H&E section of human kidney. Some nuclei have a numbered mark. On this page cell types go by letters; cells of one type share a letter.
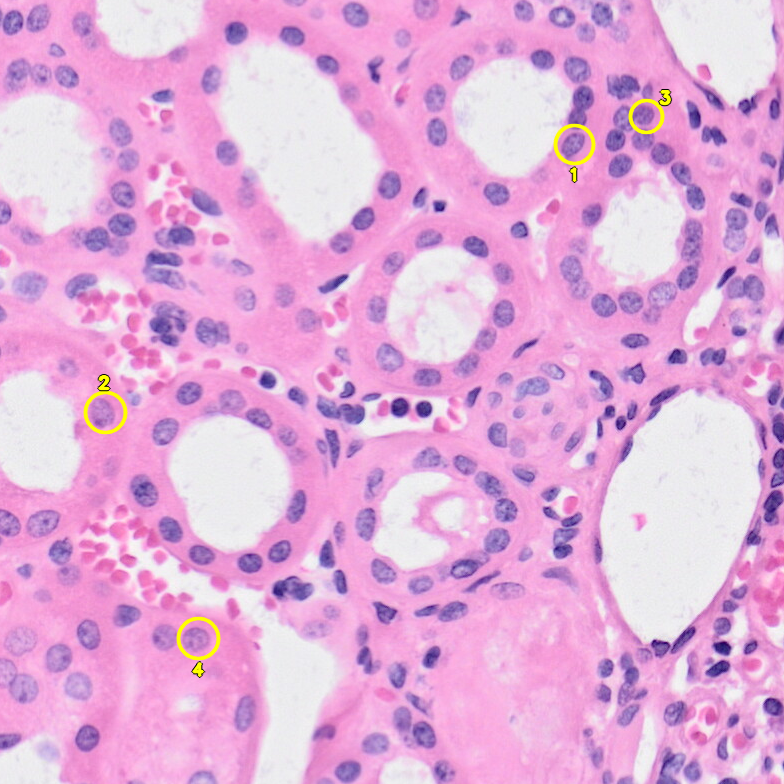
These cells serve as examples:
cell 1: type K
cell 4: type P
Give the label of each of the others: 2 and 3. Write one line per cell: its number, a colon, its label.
2: type P
3: type K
